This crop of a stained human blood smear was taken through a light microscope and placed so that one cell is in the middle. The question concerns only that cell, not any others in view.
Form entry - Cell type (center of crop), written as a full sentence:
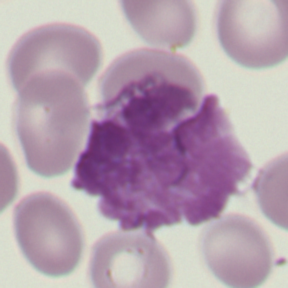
In the crop, the cell of interest at the centre is a smudge cell.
